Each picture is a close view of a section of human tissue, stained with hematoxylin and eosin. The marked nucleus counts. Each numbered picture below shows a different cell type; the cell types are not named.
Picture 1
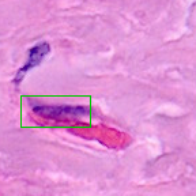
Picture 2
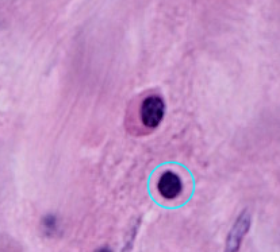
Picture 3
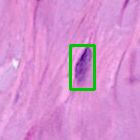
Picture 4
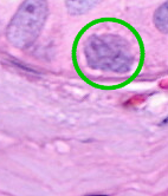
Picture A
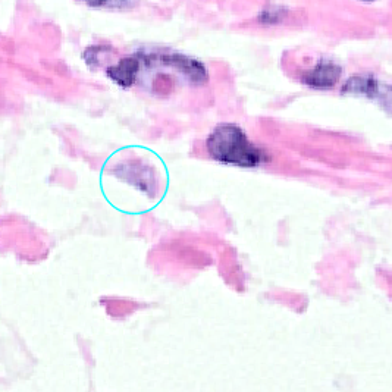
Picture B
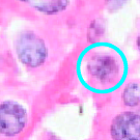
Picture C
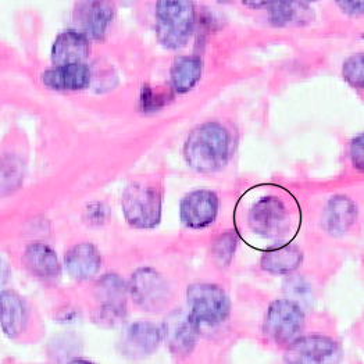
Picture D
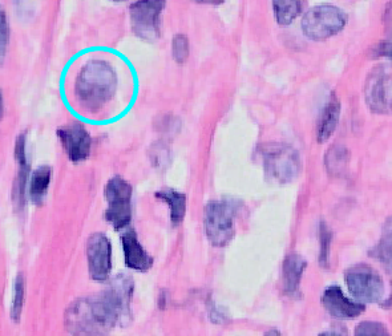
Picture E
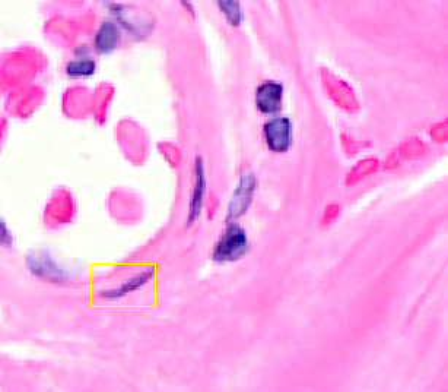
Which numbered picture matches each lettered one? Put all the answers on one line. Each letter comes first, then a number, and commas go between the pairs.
A 3, B 4, C 4, D 4, E 1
